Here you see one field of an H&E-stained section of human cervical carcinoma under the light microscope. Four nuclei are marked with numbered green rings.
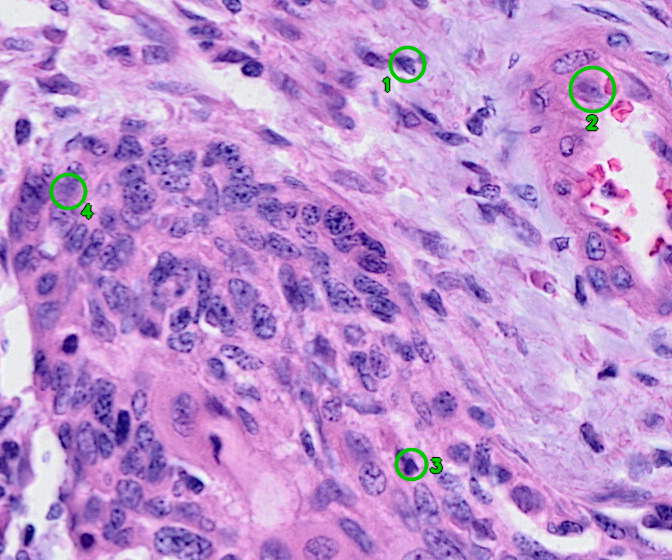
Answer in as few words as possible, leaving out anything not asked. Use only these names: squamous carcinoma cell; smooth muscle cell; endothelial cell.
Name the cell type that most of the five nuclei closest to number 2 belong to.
smooth muscle cell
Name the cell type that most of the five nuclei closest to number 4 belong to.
squamous carcinoma cell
